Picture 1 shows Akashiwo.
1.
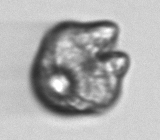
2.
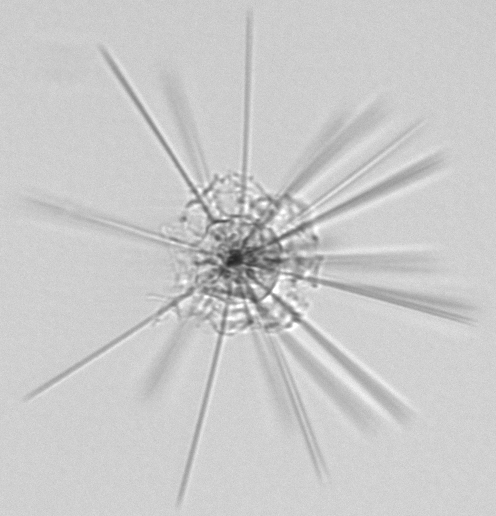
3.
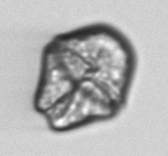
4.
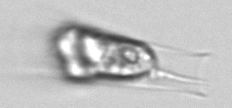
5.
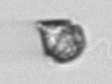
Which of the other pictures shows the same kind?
Picture 3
